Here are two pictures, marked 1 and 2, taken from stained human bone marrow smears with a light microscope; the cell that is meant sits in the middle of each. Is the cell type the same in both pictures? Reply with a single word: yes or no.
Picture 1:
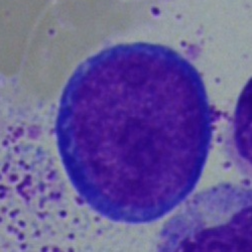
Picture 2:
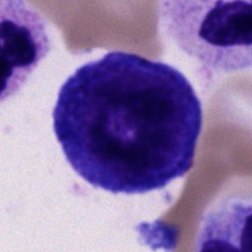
yes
